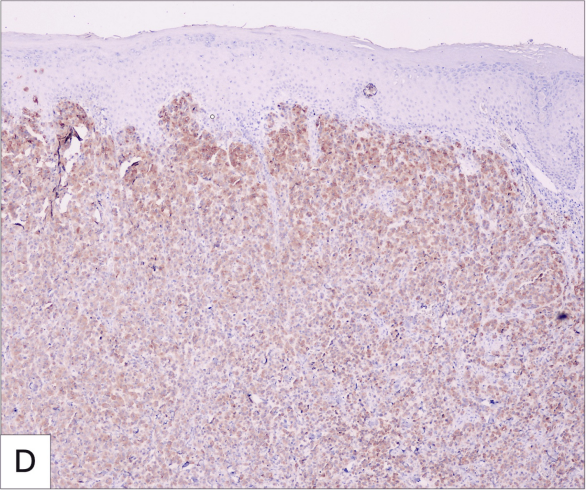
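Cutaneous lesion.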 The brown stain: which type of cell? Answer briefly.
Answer: proliferating melanocytes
